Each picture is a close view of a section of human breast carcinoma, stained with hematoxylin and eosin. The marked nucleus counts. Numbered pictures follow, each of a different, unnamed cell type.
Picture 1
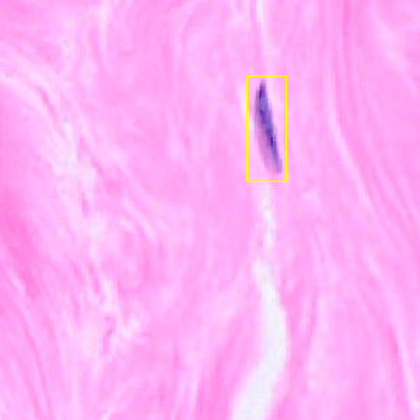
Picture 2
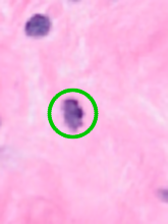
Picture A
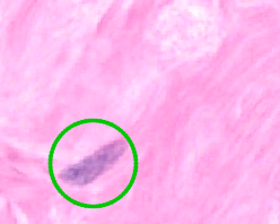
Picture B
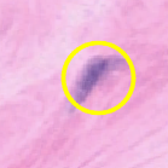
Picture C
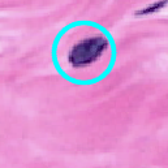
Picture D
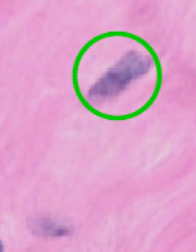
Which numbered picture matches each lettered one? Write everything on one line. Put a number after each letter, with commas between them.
A 1, B 1, C 2, D 1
